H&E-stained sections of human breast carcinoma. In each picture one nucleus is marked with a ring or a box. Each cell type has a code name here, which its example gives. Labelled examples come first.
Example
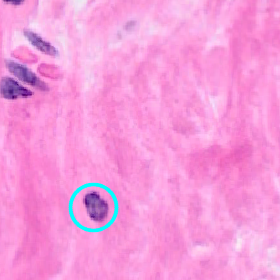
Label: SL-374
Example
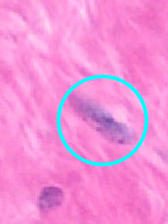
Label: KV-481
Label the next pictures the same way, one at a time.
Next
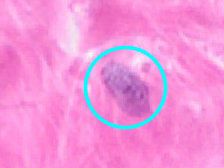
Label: KV-481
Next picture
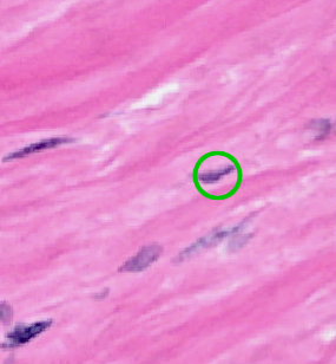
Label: KV-481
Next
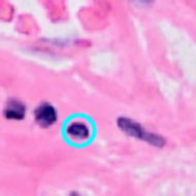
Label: SL-374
